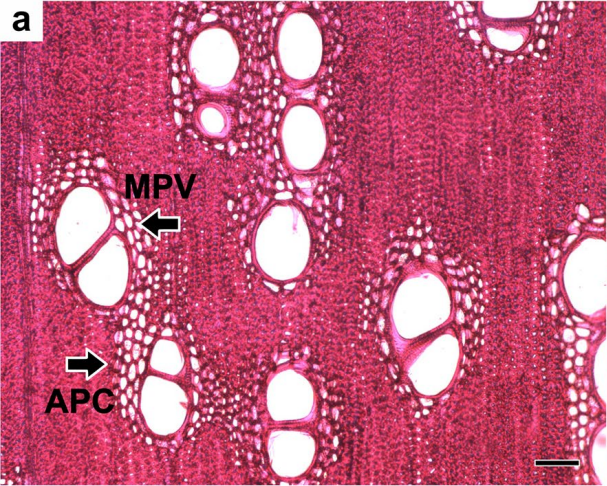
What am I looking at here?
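This is a wood cross-section in which large vessels lie in a dense ground of thick-walled fibres stained deep red. Most vessels occur in short radial multiples of two or three, with flattened shared walls between neighbouring vessels. Each vessel group is sheathed by paler, thin-walled, wider-lumened axial parenchyma cells, and in places these sheaths join neighbouring groups. Narrow rays cross the field as fine parallel lines running in the same direction as the vessel multiples.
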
